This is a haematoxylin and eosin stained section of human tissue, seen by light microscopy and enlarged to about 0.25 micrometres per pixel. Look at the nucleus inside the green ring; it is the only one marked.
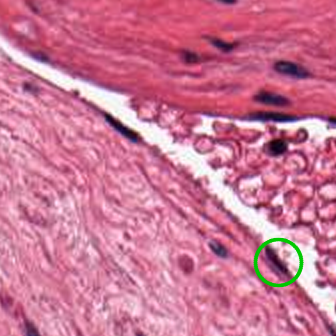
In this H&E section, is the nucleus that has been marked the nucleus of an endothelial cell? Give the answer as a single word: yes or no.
yes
